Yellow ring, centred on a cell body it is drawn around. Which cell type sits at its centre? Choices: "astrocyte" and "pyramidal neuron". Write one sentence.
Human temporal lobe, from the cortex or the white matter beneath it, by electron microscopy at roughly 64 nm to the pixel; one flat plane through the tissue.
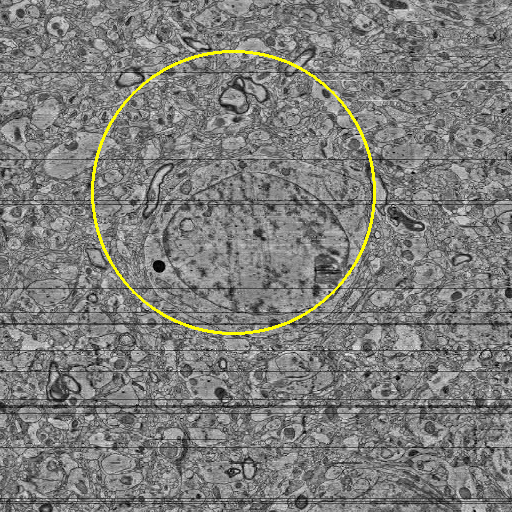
At the centre of the ring sits a pyramidal neuron.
